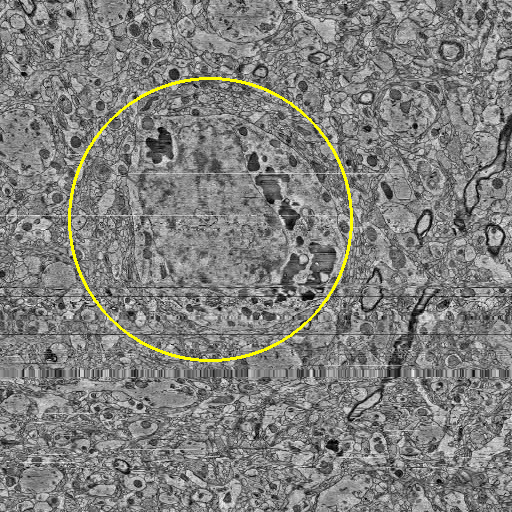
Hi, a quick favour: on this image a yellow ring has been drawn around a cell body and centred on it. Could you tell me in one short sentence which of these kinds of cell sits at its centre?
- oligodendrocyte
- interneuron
The ring is centred on an interneuron.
